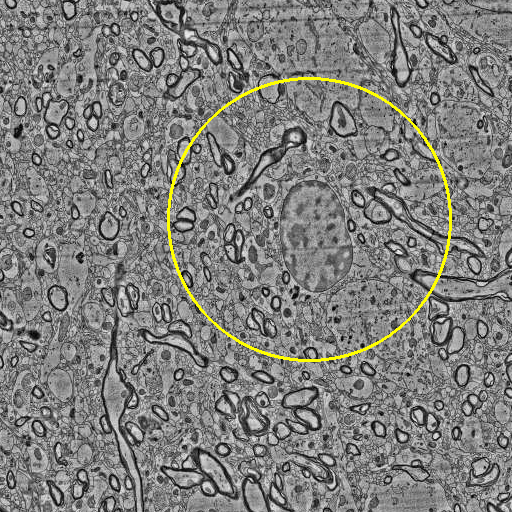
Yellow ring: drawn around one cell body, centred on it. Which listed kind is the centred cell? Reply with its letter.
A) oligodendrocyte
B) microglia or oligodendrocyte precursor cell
B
